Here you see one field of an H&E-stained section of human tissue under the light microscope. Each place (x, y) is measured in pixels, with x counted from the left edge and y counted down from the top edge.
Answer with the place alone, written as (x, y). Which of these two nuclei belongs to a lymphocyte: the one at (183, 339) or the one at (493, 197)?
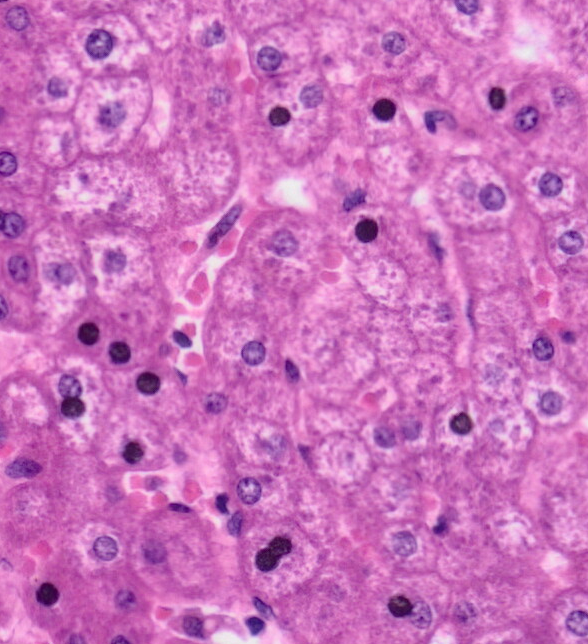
(183, 339)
